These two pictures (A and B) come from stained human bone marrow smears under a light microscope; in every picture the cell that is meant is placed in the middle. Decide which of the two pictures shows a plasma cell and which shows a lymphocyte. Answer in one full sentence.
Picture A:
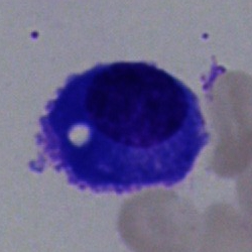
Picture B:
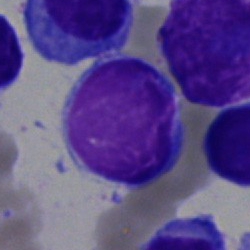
It is picture A that shows a plasma cell, and picture B that shows a lymphocyte.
